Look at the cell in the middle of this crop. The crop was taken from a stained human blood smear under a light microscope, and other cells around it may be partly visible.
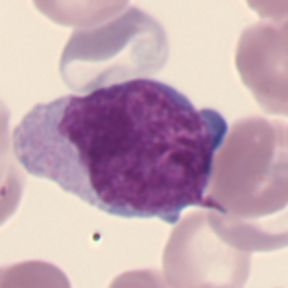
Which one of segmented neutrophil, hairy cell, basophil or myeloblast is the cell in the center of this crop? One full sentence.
The cell nearest the centre of this crop is a myeloblast.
